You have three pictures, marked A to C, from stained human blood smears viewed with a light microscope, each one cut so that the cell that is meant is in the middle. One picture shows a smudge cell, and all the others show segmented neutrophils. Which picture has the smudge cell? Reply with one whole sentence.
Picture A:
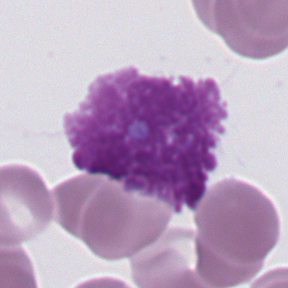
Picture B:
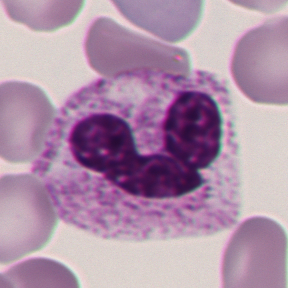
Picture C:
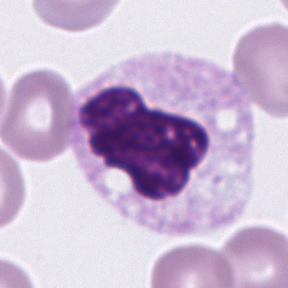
The smudge cell is the one in picture A.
